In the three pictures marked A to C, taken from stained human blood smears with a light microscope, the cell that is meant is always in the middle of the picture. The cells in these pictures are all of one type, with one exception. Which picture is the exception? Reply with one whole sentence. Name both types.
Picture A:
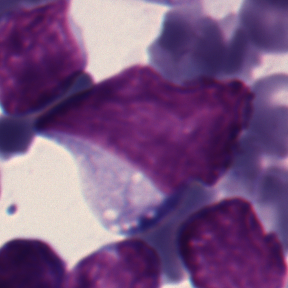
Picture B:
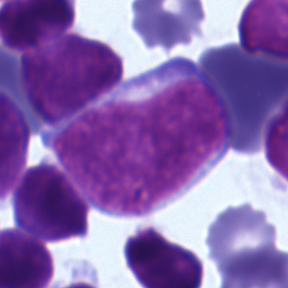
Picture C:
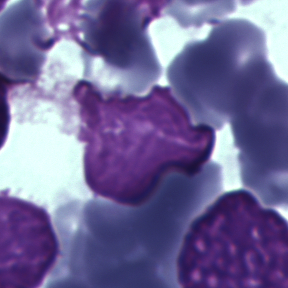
Picture C differs, because its cell is a smudge cell and the rest are myeloblasts.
